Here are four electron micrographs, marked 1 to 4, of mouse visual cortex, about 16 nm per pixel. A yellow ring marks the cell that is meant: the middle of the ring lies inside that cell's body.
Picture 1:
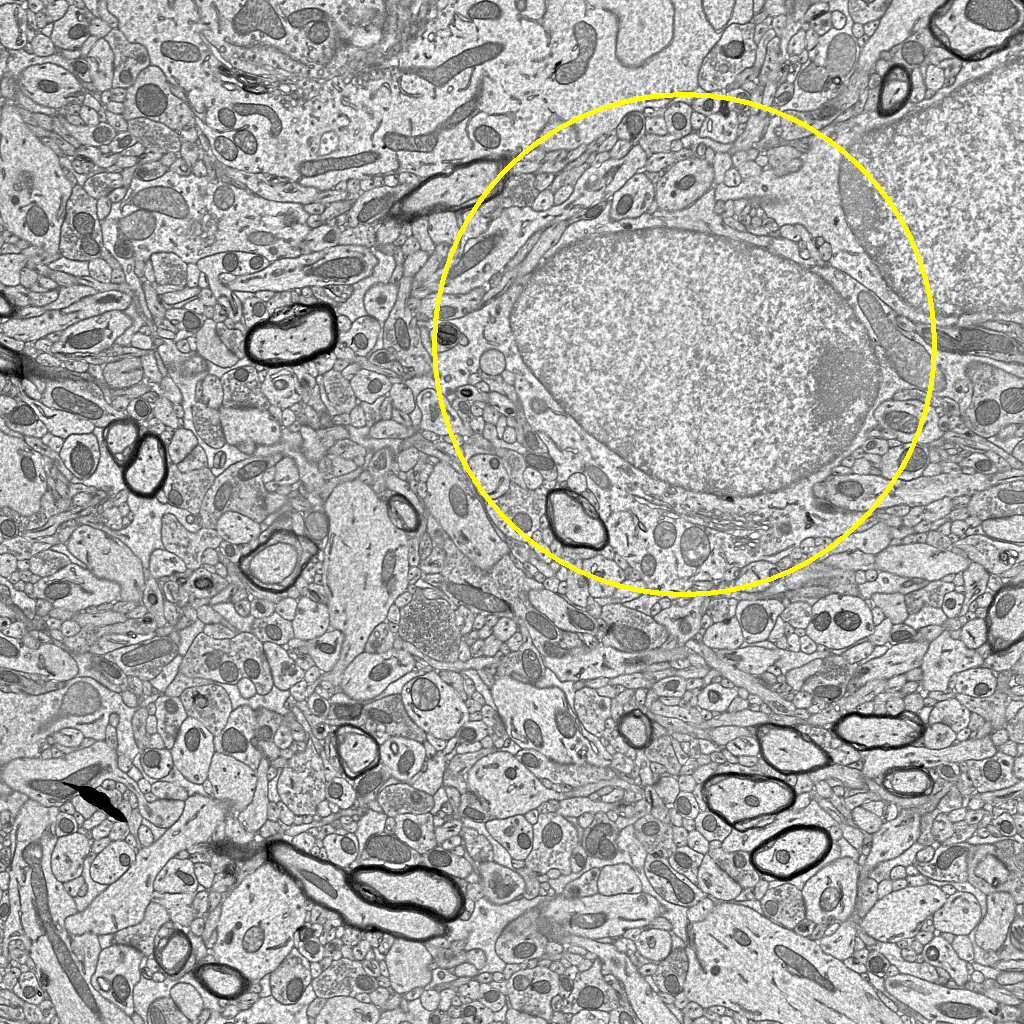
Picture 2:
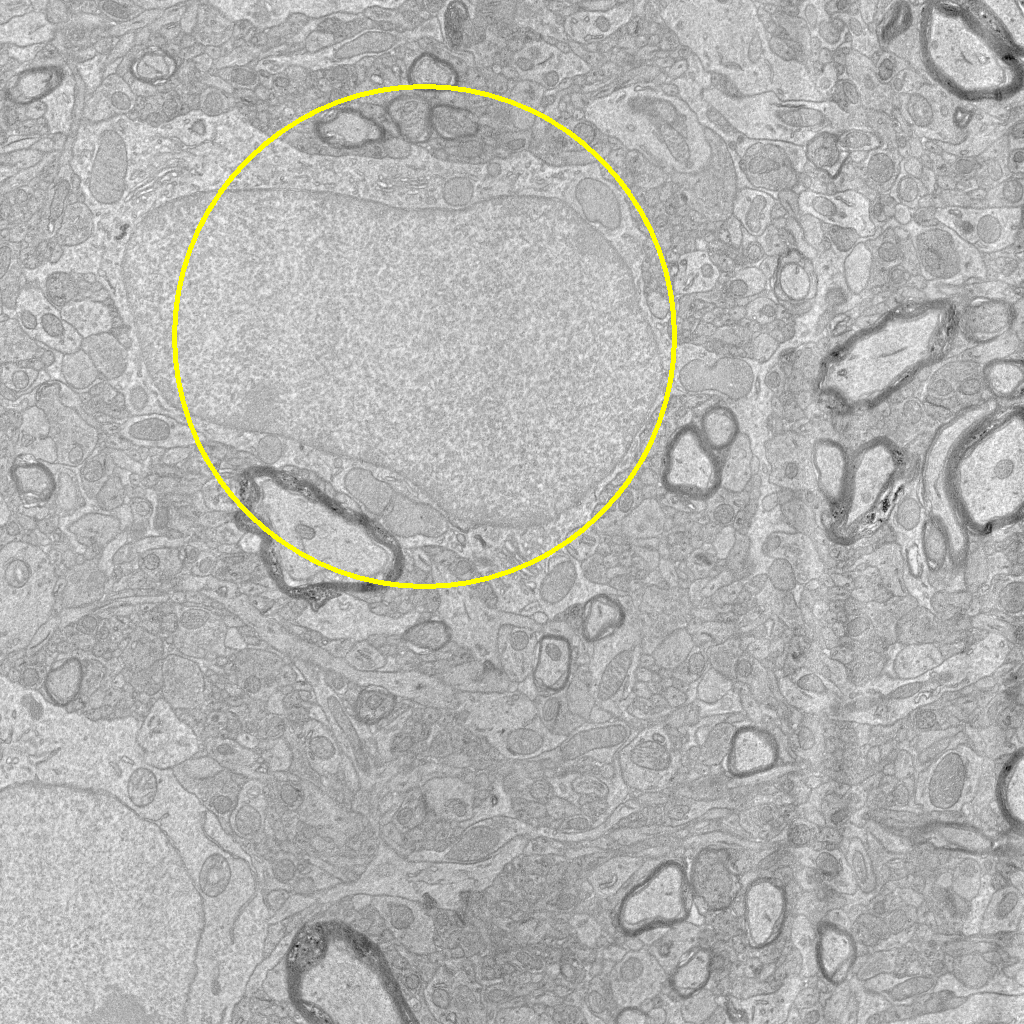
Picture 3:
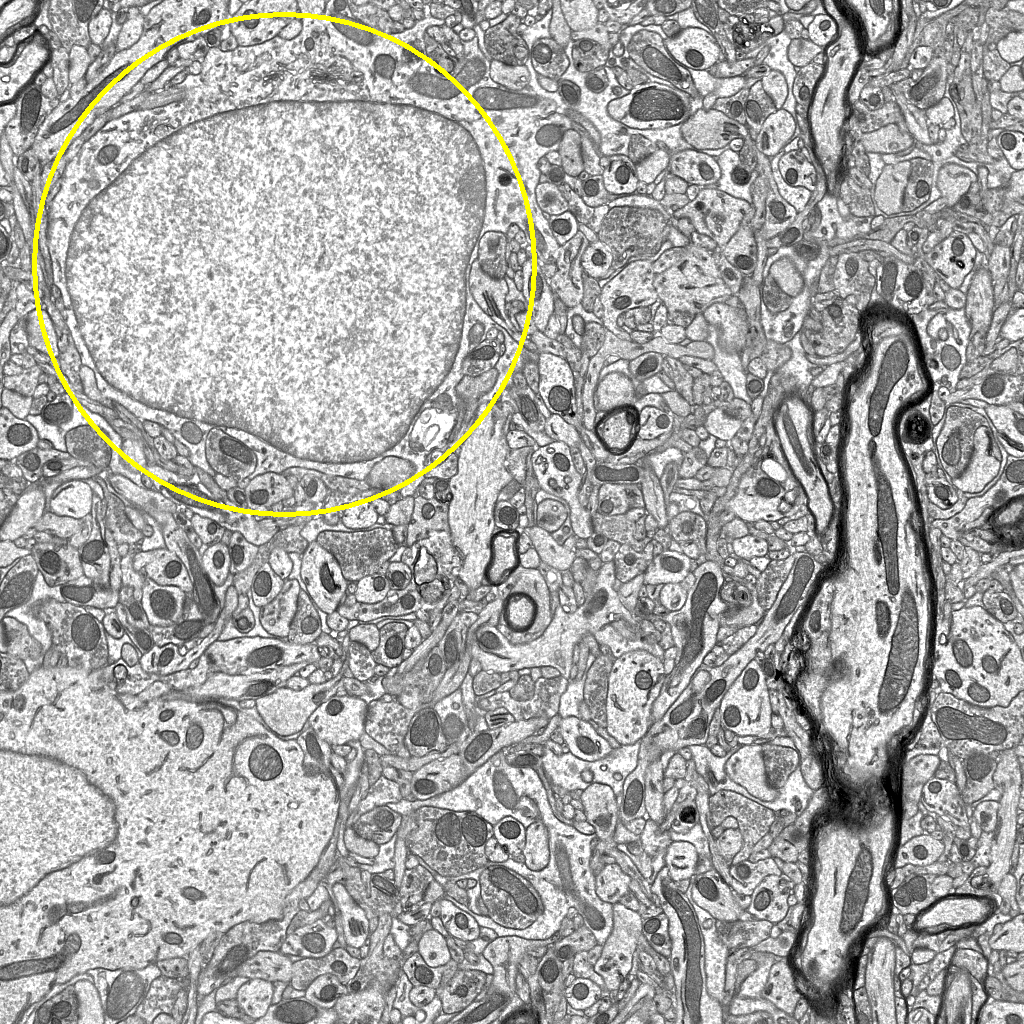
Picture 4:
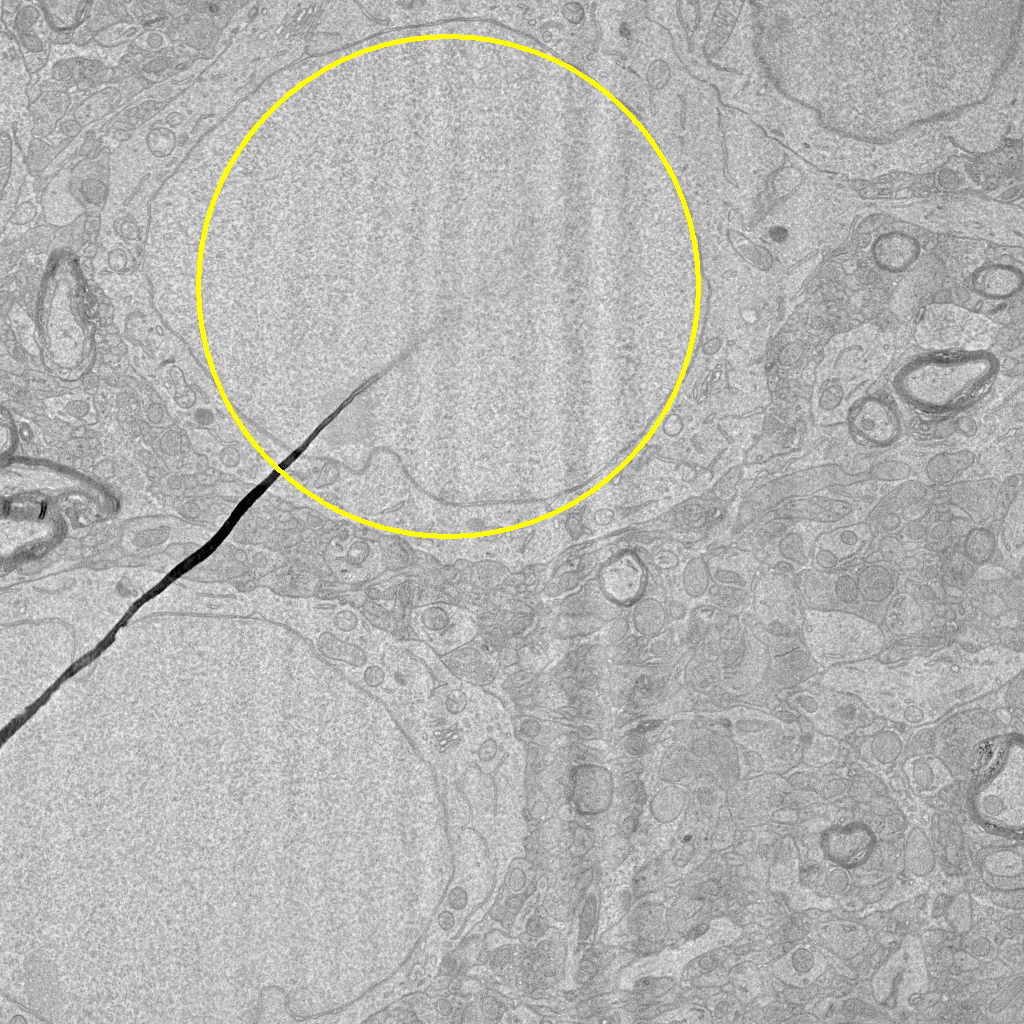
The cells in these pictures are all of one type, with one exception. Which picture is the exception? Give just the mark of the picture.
4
